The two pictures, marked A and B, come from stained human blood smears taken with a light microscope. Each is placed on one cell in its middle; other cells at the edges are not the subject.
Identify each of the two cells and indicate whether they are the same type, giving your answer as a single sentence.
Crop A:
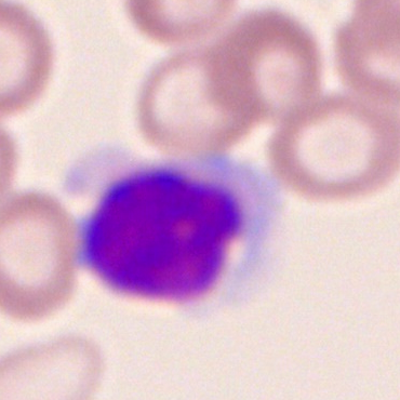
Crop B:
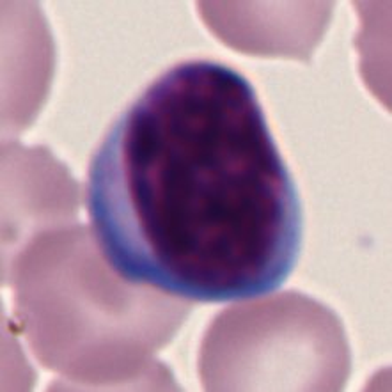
Yes, that holds, both crops show lymphocytes.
